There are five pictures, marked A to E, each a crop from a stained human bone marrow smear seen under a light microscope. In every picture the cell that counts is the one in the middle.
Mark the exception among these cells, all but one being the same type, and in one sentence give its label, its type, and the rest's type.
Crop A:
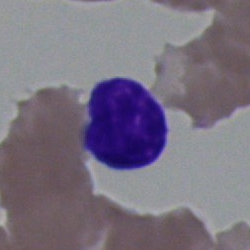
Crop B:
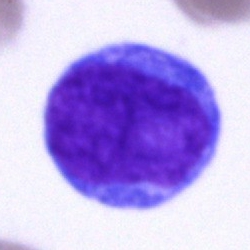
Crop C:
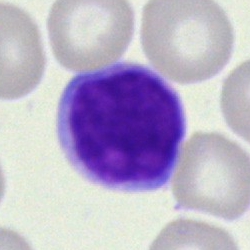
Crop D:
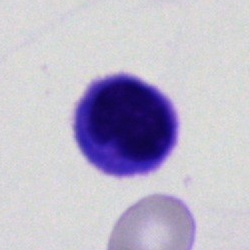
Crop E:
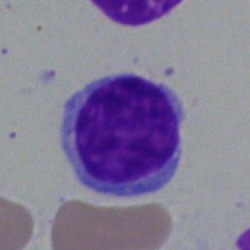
Crop B alone is a blast, and the other crops are all lymphocytes.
